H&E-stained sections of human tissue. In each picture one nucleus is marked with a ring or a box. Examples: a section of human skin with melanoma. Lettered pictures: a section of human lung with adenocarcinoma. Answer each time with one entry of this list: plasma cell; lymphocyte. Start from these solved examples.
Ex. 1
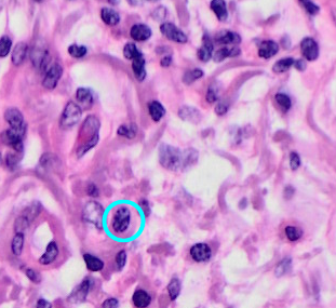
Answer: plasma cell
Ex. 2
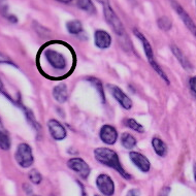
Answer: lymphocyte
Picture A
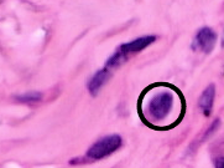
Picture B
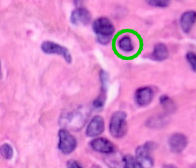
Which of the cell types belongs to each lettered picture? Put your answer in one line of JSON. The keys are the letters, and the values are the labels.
{"A": "plasma cell", "B": "lymphocyte"}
